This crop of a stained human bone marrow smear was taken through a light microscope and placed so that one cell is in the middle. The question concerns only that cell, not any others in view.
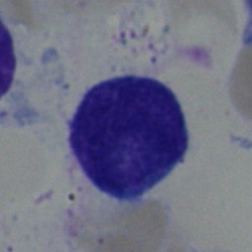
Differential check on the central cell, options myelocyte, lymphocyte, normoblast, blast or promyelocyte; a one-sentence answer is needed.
Within this crop, a blast occupies the central position.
